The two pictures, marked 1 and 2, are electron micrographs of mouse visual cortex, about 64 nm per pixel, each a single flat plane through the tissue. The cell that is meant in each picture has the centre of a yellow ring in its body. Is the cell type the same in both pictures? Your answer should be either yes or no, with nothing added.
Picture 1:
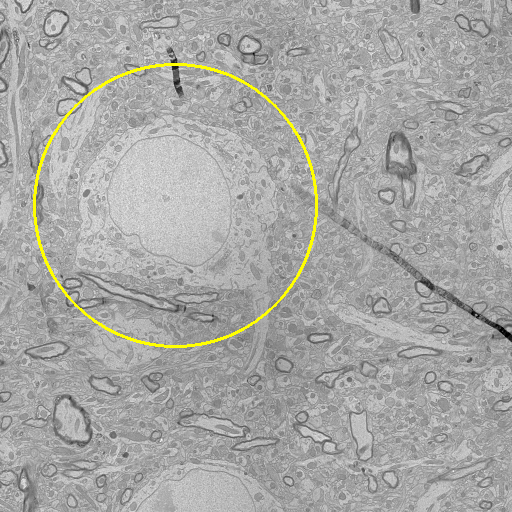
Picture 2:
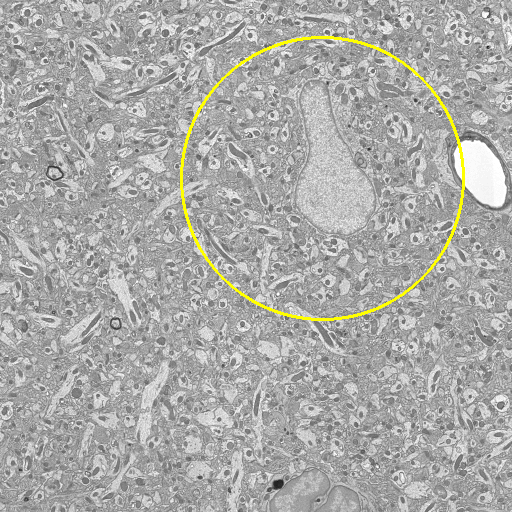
no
